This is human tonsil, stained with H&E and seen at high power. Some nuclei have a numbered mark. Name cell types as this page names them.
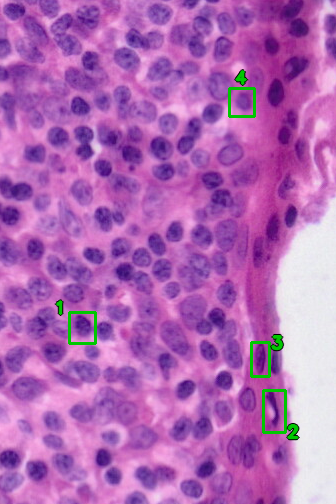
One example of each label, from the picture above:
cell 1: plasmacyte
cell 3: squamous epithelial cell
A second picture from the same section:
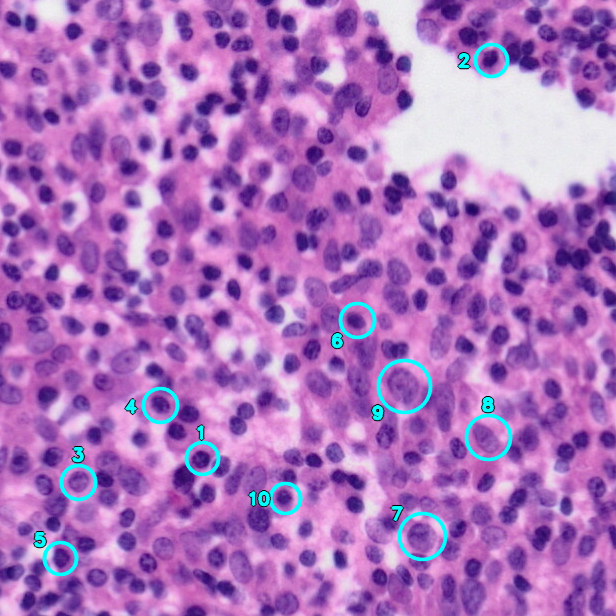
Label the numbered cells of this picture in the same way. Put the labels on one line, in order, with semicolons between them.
plasmacyte; plasmacyte; plasmacyte; plasmacyte; plasmacyte; squamous epithelial cell; squamous epithelial cell; squamous epithelial cell; squamous epithelial cell; plasmacyte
